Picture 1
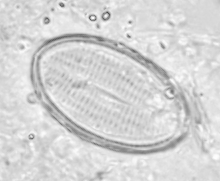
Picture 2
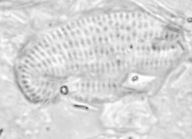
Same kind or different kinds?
Same: Cocconeis.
